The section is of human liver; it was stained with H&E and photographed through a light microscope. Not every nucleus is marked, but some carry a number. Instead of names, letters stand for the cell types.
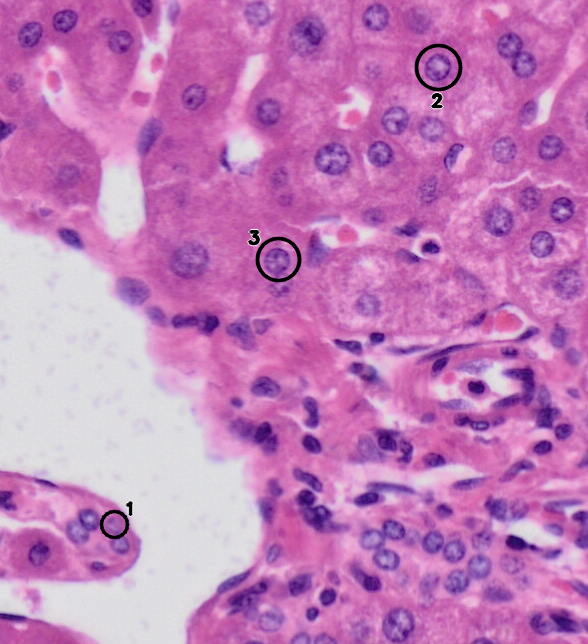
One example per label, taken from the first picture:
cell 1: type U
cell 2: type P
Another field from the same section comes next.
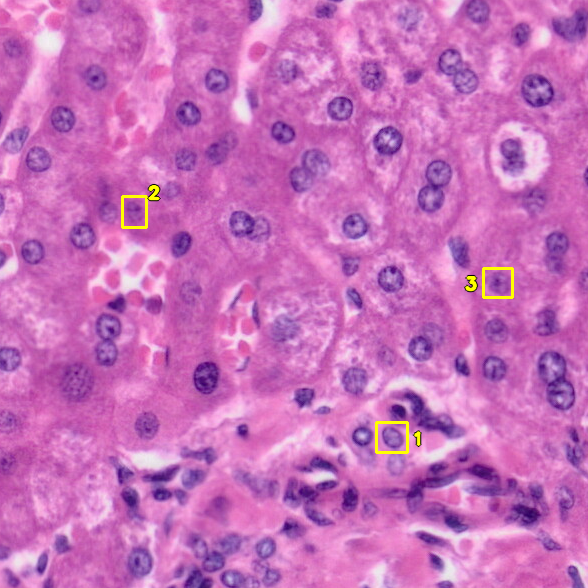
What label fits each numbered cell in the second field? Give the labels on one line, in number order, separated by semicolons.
type U; type P; type P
